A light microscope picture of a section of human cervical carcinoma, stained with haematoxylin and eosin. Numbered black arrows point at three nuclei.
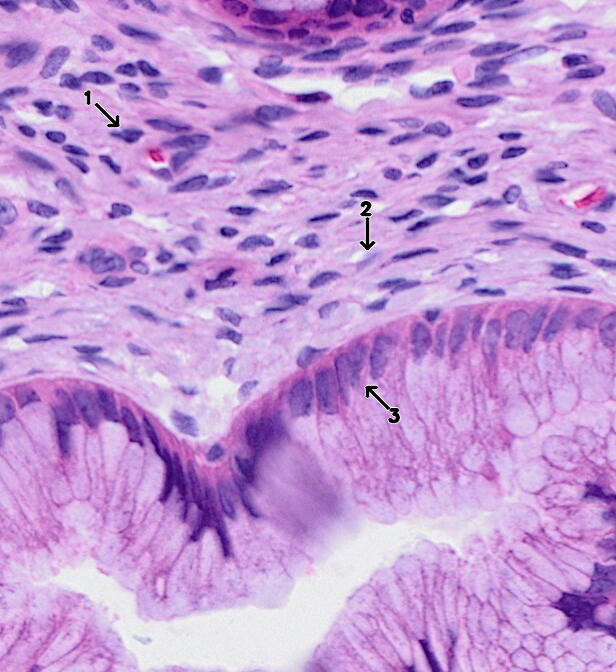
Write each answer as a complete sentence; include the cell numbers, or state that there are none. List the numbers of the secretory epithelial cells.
In contrast to the remaining marked cells, cell 3 is a secretory epithelial cell.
